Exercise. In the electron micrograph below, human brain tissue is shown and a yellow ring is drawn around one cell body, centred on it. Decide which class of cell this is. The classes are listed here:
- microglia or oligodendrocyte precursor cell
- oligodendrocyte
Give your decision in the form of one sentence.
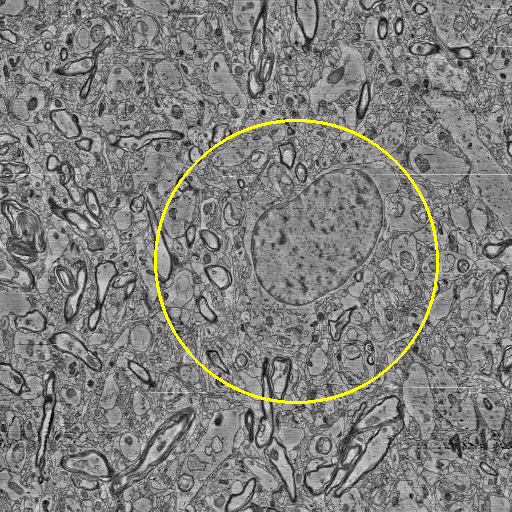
The cell body marked by the ring belongs to a microglial cell or oligodendrocyte precursor cell.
